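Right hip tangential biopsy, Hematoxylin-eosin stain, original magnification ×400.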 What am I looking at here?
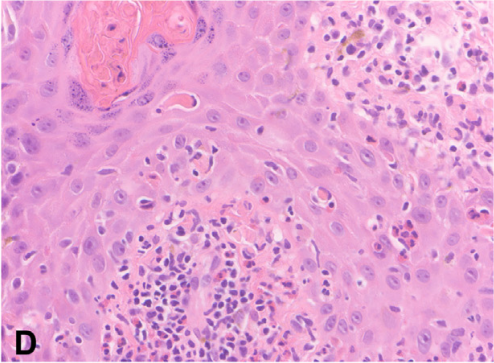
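At high power the epidermal keratinocytes, large polygonal cells with pale pink cytoplasm and round nuclei, are infiltrated by many smaller cells with lobed nuclei and bright red-orange granular cytoplasm, a picture of eosinophilic spongiosis. The spaces between keratinocytes are widened where these cells gather. At the top of the field a dense whorl of pink keratin with a few dark nuclear remnants marks dyskeratosis within the epidermis.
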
